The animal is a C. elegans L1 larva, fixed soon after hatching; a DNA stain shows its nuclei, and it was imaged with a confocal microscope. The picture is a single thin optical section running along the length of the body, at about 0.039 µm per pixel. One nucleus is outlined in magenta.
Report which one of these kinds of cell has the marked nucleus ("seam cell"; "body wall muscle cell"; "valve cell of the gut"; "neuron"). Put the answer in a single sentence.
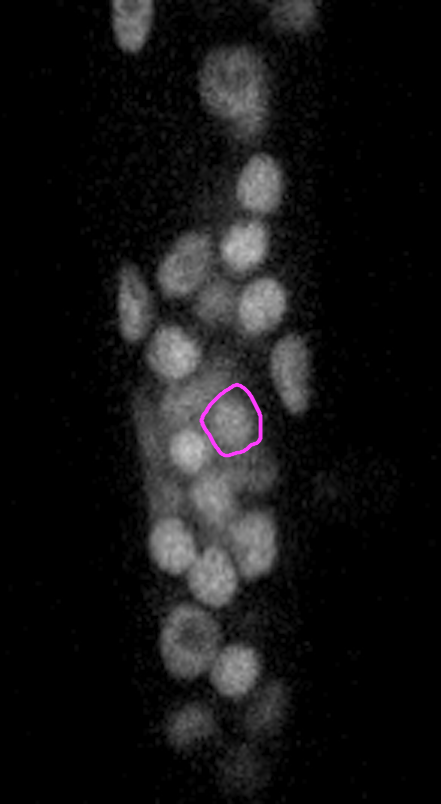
It belongs to a neuron.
